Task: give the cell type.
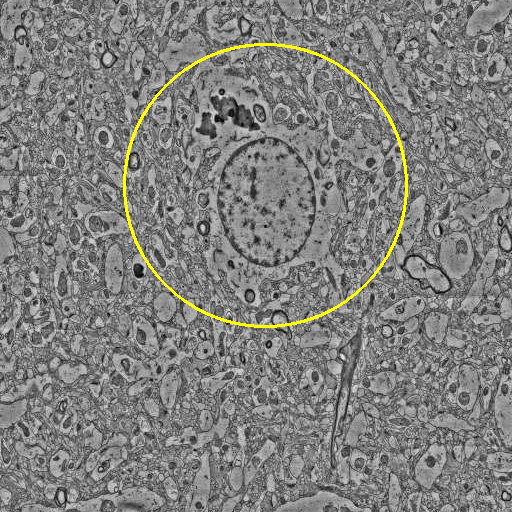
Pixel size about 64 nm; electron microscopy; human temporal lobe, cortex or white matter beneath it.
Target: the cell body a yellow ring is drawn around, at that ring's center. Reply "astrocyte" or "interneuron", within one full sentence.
In this picture, the cell whose body lies at the ring's center is an astrocyte.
